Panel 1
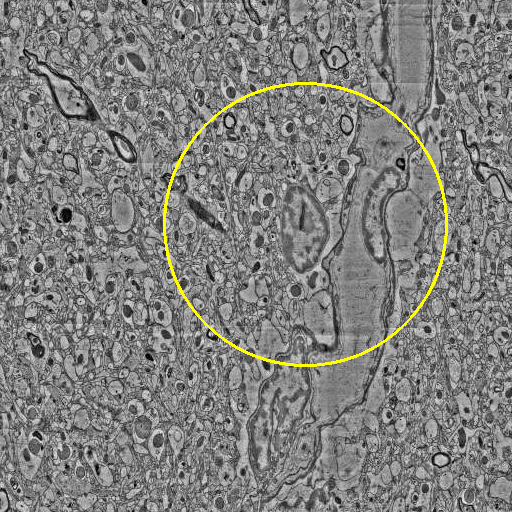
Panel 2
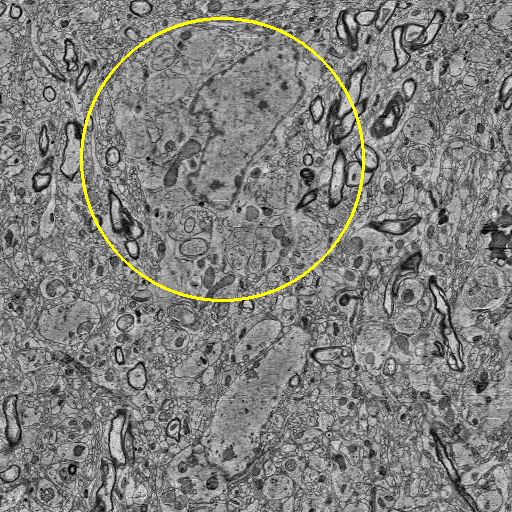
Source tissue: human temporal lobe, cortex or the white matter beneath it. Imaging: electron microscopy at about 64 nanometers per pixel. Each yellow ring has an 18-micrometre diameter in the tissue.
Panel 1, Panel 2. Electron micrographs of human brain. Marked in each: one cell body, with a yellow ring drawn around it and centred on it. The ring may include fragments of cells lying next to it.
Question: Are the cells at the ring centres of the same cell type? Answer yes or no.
no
